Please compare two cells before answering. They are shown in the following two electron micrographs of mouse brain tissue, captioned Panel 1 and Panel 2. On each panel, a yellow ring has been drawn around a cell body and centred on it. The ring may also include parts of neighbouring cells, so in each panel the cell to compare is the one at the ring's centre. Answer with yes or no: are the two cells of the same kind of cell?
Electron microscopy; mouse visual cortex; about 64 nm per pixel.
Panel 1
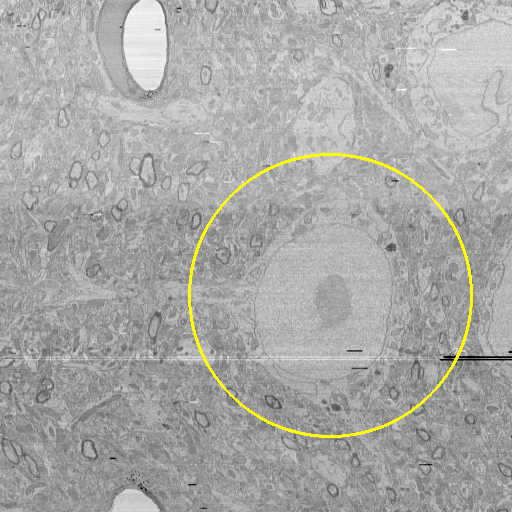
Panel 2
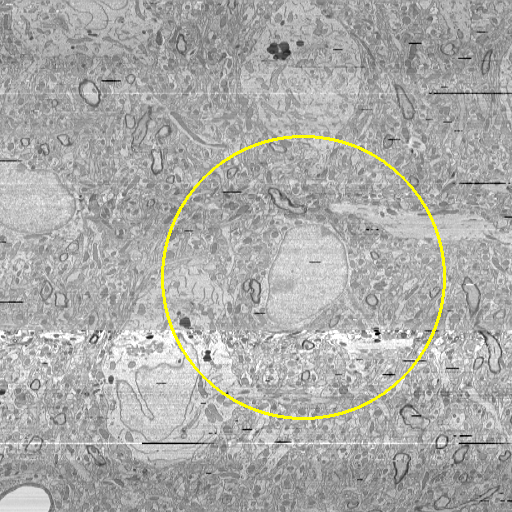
no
